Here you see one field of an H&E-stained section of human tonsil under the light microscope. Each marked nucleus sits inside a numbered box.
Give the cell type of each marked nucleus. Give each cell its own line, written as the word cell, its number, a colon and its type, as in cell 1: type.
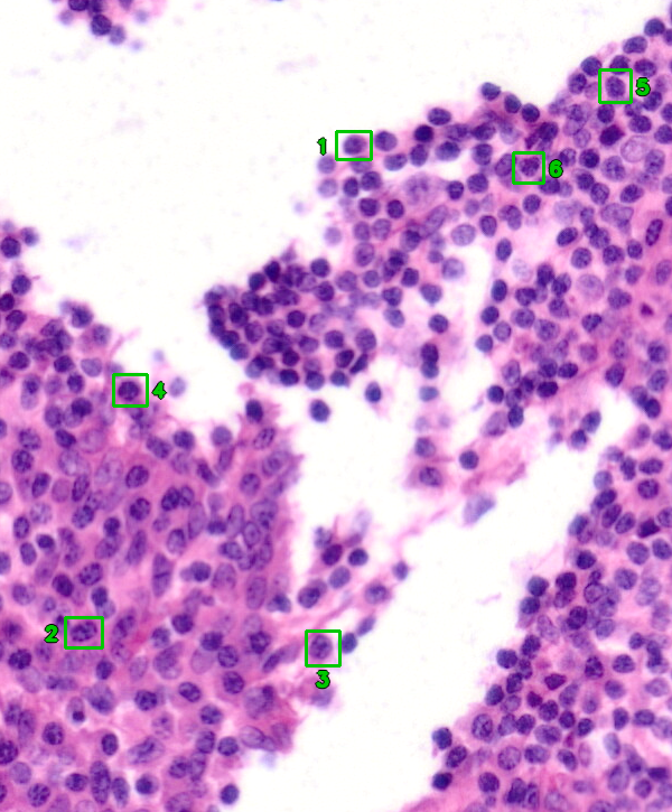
cell 1: small lymphocyte
cell 2: plasma cell
cell 3: plasma cell
cell 4: plasma cell
cell 5: small lymphocyte
cell 6: small lymphocyte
